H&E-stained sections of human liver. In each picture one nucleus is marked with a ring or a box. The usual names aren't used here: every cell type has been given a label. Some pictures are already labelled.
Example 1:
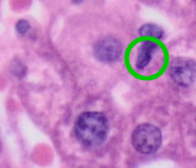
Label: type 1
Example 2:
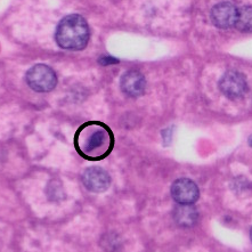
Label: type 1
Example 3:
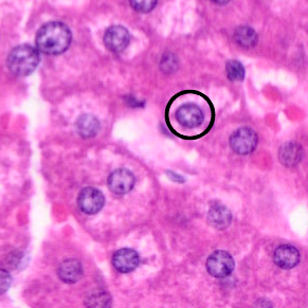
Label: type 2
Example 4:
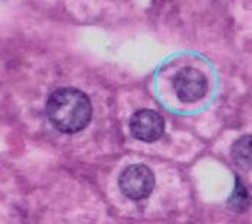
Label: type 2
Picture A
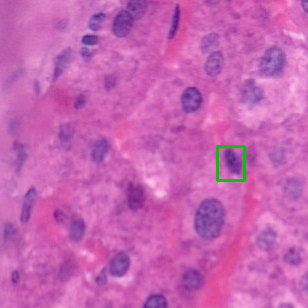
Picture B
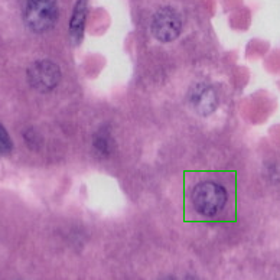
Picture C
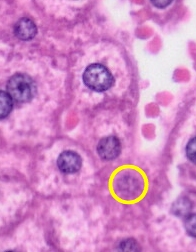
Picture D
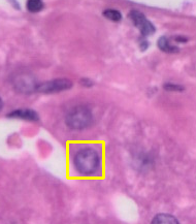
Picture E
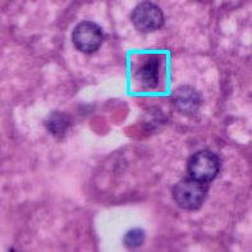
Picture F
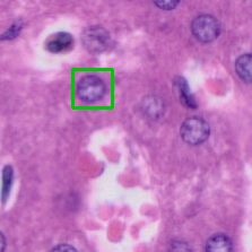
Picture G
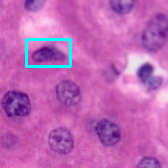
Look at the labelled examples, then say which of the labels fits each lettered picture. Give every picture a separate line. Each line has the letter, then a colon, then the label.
A: type 1
B: type 2
C: type 2
D: type 2
E: type 1
F: type 2
G: type 1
